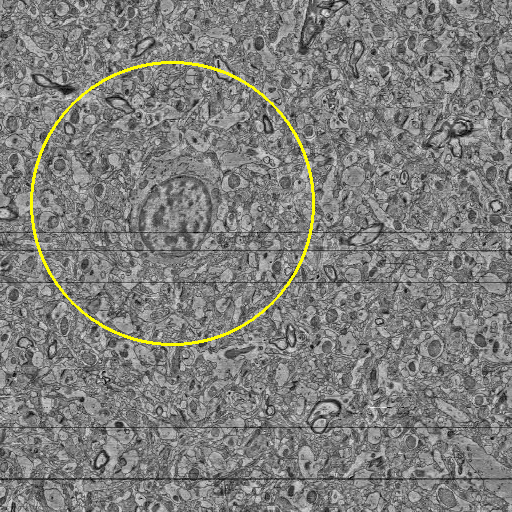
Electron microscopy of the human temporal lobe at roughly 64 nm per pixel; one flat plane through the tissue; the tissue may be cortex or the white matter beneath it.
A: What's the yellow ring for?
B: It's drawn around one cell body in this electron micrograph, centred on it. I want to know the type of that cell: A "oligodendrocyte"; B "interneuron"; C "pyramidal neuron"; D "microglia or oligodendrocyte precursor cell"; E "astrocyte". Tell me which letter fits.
A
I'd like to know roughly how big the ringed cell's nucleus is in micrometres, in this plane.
In this plane, about 6 micrometres in length and 5 in width.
